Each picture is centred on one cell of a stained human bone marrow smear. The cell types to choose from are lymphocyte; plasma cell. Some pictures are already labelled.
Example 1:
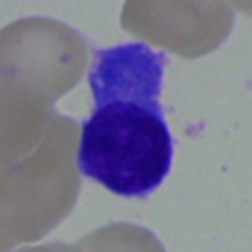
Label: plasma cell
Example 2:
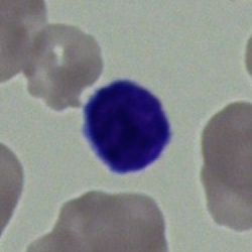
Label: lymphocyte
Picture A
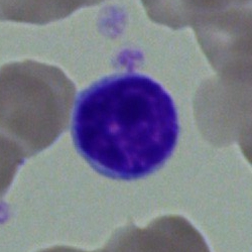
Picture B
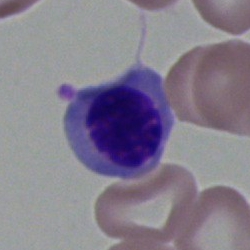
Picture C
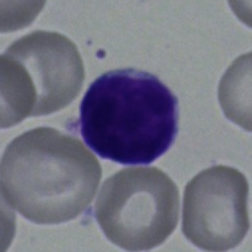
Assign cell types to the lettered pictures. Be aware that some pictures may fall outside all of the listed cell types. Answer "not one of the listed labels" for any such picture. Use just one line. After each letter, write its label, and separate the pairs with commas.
A lymphocyte, B not one of the listed labels, C lymphocyte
